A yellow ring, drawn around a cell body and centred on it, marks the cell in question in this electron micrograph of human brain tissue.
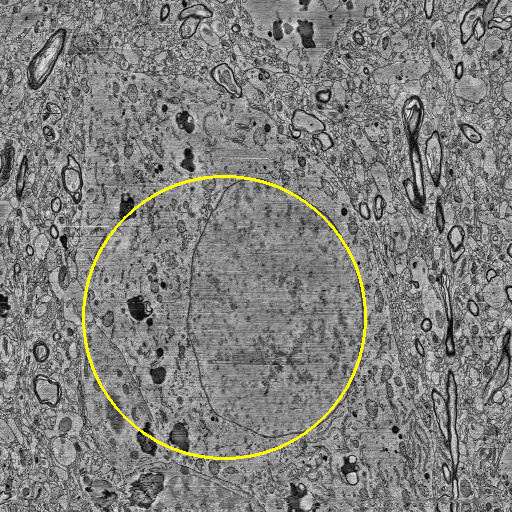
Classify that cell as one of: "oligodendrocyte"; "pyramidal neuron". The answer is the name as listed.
pyramidal neuron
